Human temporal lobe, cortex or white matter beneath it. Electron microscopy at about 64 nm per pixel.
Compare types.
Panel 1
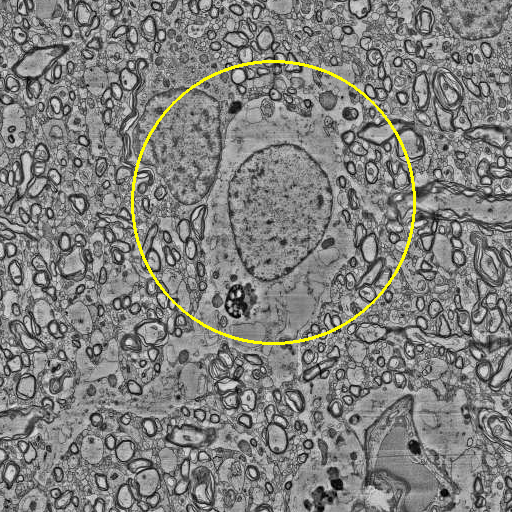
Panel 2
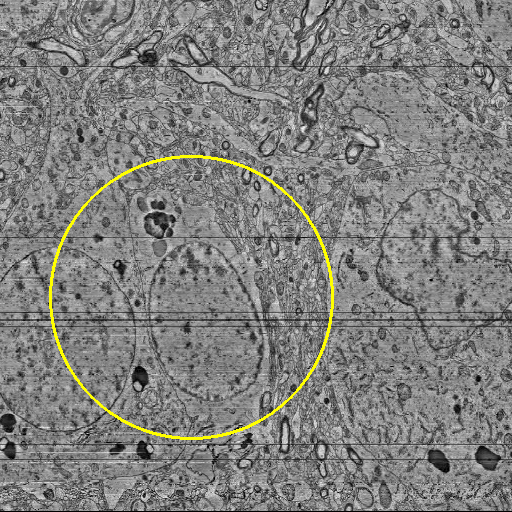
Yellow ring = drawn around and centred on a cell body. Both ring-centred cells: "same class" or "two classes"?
same class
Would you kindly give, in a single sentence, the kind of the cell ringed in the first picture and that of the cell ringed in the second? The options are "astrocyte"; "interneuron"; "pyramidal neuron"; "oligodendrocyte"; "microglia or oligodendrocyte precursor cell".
The cell in the first picture is an astrocyte, and so is the one in the second.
